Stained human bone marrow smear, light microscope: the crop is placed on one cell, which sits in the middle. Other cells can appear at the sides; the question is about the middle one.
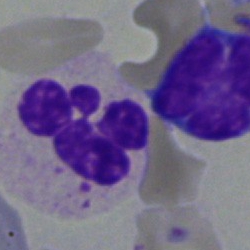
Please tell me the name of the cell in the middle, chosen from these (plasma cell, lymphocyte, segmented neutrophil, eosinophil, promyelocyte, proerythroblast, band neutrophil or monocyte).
segmented neutrophil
